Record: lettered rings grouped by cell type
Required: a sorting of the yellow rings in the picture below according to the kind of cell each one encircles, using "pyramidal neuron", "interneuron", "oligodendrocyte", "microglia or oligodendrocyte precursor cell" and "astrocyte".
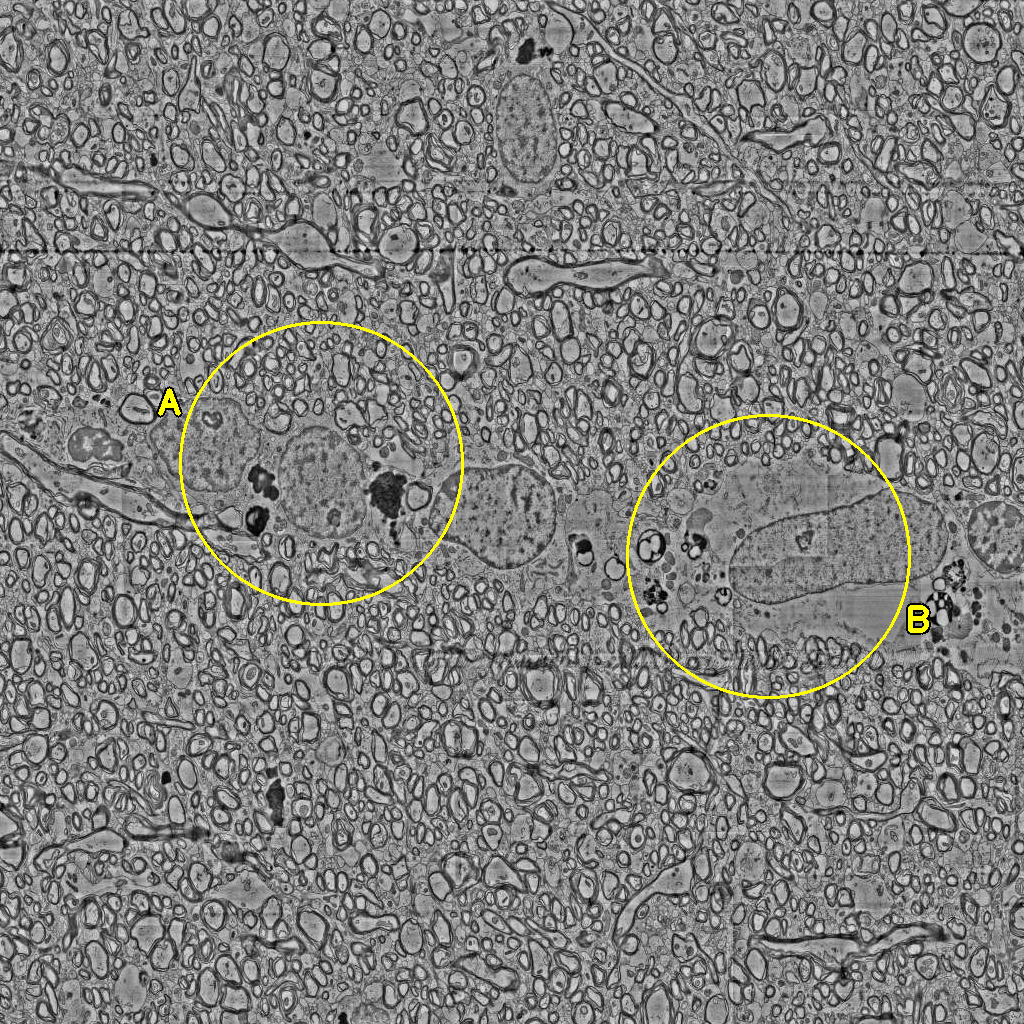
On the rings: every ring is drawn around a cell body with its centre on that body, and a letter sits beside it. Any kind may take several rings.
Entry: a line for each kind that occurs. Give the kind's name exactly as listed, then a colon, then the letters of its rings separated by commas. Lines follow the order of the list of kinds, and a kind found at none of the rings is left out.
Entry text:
oligodendrocyte: A
astrocyte: B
